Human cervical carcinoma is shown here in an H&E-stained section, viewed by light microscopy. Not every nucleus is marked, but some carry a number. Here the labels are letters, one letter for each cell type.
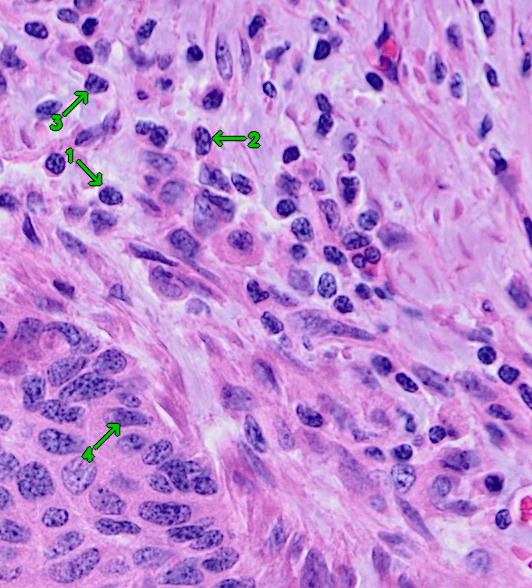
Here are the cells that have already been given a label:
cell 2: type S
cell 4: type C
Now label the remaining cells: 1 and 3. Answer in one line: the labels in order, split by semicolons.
type S; type S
